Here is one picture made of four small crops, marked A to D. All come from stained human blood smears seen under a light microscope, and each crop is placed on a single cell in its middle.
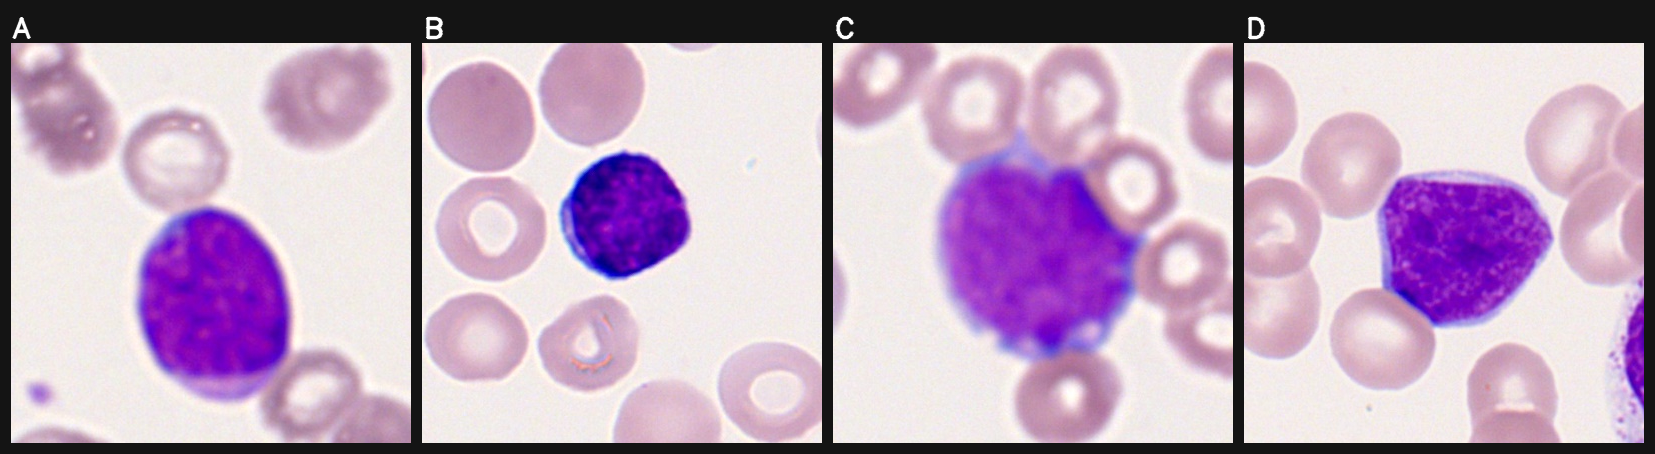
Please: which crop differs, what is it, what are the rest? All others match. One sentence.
The exception is crop B, with a lymphocyte; the remaining crops all show myeloblasts.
